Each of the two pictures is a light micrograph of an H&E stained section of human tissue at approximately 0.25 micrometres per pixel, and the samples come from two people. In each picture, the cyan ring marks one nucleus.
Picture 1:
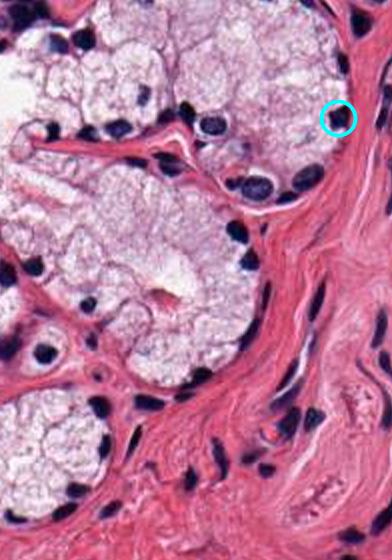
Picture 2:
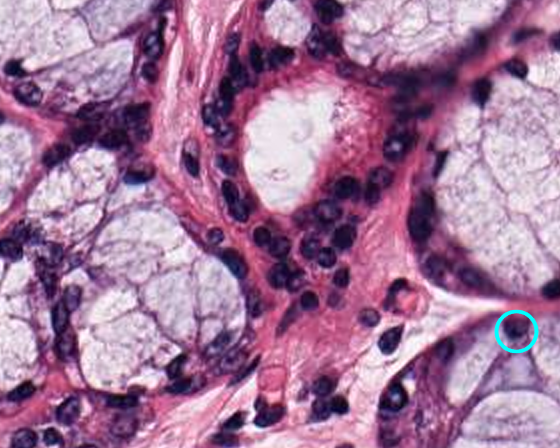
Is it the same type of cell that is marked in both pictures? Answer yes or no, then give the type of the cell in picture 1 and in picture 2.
Yes, both are mucous gland cells.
